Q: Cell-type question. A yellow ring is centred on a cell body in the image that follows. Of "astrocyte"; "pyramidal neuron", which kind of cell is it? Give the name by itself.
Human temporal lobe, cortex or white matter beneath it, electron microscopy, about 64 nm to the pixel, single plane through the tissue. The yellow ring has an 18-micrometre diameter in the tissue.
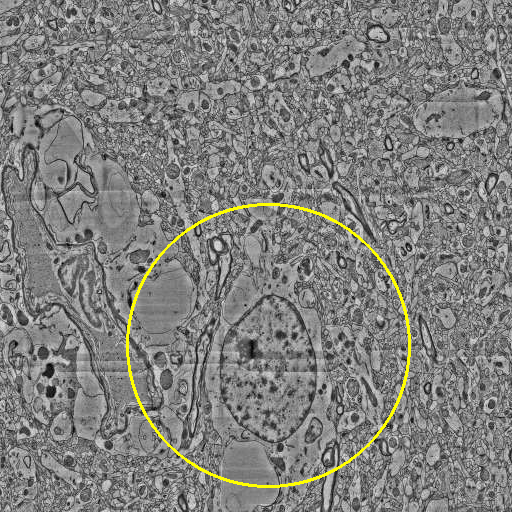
astrocyte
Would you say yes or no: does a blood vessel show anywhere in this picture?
Yes, the picture includes a blood vessel.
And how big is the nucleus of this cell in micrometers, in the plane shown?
Roughly 9 by 6 micrometres; in this plane, clearly longer than it is wide.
